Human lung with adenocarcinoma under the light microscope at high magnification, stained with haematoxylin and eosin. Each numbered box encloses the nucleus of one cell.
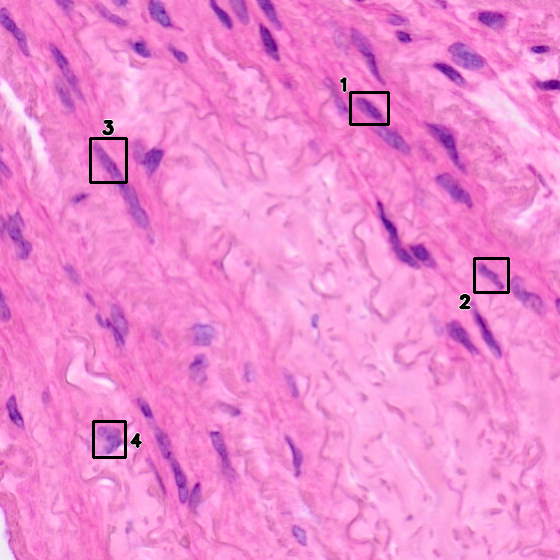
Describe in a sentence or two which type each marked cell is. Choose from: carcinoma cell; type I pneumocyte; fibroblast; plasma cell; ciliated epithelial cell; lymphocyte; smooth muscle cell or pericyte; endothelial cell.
Cell 1 is a smooth muscle cell or pericyte, cell 2 is a smooth muscle cell or pericyte, cell 3 is a smooth muscle cell or pericyte and cell 4 is a fibroblast.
